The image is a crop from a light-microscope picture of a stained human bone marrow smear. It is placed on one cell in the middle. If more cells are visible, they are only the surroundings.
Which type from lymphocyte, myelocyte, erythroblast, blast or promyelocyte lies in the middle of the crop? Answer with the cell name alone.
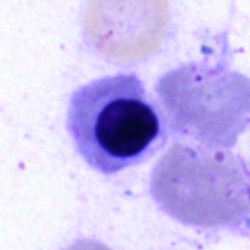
erythroblast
